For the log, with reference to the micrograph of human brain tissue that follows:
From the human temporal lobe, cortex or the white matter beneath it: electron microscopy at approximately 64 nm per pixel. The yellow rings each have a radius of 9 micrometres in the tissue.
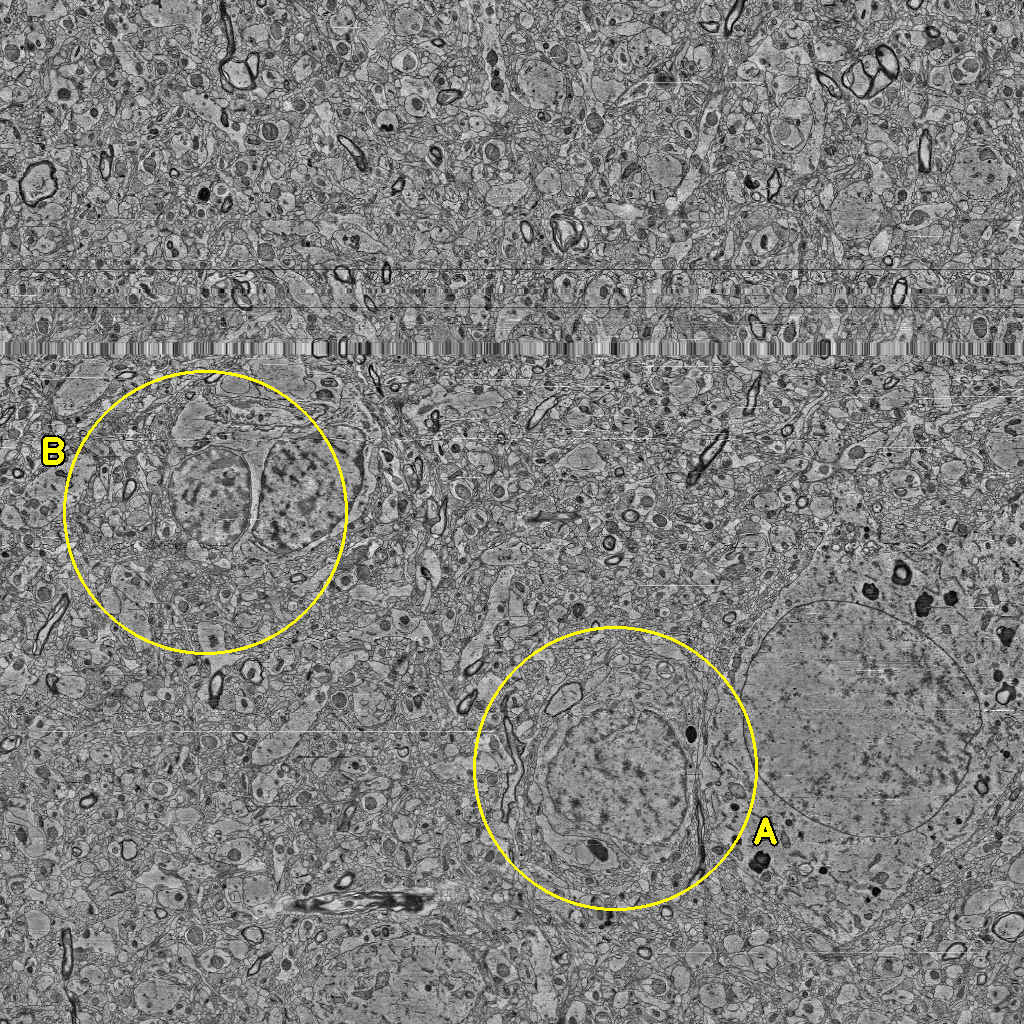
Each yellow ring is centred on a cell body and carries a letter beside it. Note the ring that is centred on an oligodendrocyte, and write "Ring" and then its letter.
Ring B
